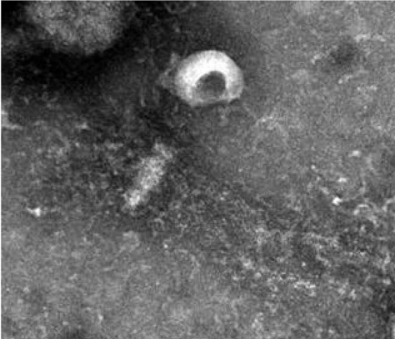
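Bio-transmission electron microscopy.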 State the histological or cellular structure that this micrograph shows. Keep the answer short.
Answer: Extracellular vesicles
